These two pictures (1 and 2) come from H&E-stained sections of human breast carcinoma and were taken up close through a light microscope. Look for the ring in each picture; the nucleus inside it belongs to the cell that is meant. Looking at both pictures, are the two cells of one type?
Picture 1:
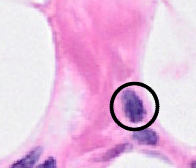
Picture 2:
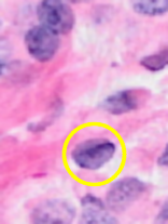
no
